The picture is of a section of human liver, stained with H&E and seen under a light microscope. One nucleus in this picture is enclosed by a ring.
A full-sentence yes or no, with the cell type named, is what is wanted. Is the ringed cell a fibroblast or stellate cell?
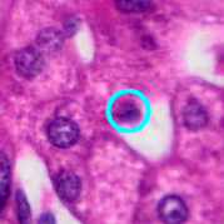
No, instead of a fibroblast or stellate cell, the ringed cell is a Kupffer cell.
